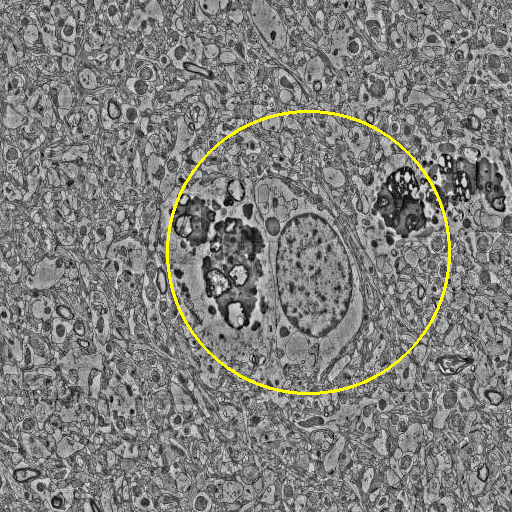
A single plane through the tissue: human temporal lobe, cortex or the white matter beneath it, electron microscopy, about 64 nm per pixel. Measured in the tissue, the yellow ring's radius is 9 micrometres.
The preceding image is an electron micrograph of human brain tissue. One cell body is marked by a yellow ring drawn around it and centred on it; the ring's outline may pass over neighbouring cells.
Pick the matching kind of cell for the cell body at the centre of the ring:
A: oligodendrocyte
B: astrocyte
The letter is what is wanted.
B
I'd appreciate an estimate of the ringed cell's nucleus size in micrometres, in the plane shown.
In this plane, about 8 by 5 micrometres: the nucleus is clearly longer than it is wide.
